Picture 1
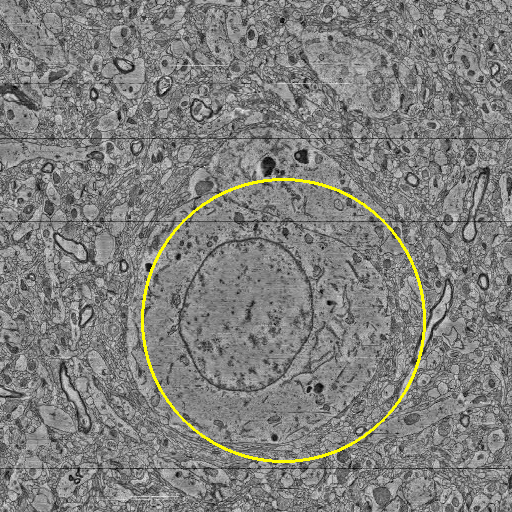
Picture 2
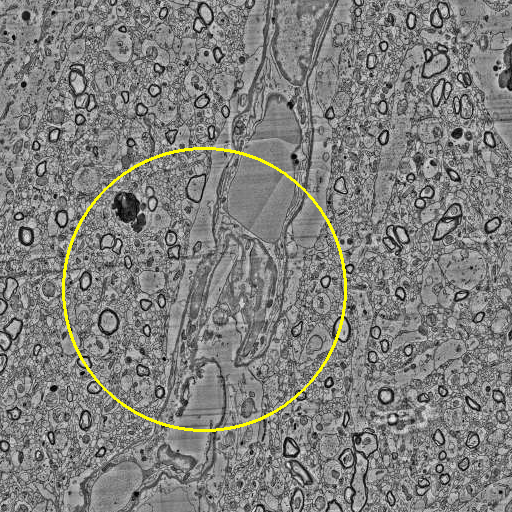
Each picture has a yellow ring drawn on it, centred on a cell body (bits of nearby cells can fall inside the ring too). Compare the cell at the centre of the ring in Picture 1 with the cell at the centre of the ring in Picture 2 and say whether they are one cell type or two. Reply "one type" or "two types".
two types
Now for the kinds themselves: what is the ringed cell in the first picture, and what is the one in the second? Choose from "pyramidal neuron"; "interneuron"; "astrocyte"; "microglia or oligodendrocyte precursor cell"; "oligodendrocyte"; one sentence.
Here the first cell is a pyramidal neuron and the second cell is an oligodendrocyte.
